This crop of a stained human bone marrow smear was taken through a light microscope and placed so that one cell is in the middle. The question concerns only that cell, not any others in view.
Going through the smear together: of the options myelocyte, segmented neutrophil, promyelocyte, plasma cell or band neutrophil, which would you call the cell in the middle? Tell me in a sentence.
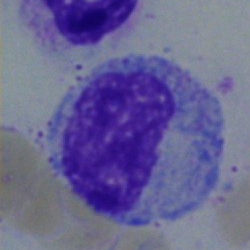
In the central position of this crop, the cell is a myelocyte.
